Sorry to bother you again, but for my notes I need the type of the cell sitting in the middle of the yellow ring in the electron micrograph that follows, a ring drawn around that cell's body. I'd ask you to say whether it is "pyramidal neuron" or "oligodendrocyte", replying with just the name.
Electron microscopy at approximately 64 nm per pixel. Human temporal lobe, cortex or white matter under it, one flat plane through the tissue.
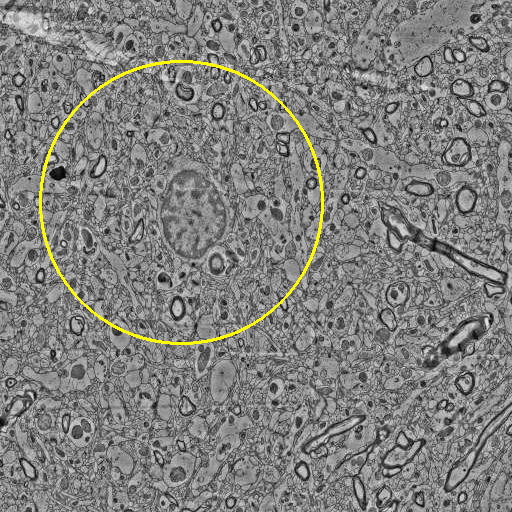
oligodendrocyte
